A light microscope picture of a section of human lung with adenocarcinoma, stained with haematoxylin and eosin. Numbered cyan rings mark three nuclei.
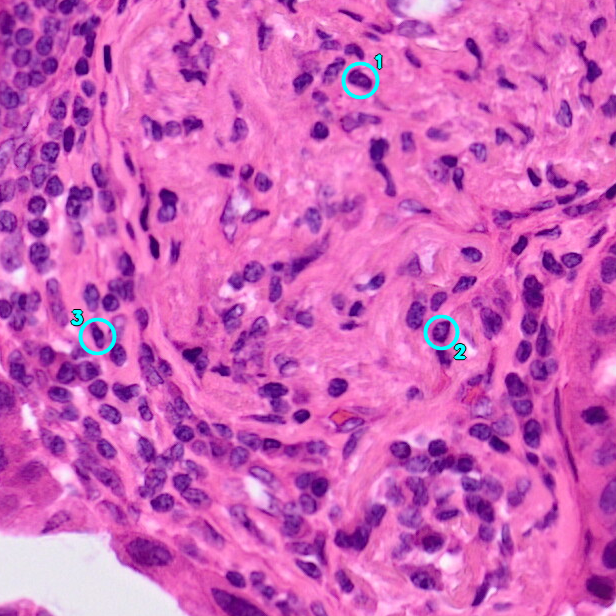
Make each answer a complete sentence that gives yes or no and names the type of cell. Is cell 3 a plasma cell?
No, cell 3 is correctly identified as a lymphocyte and not as a plasma cell.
